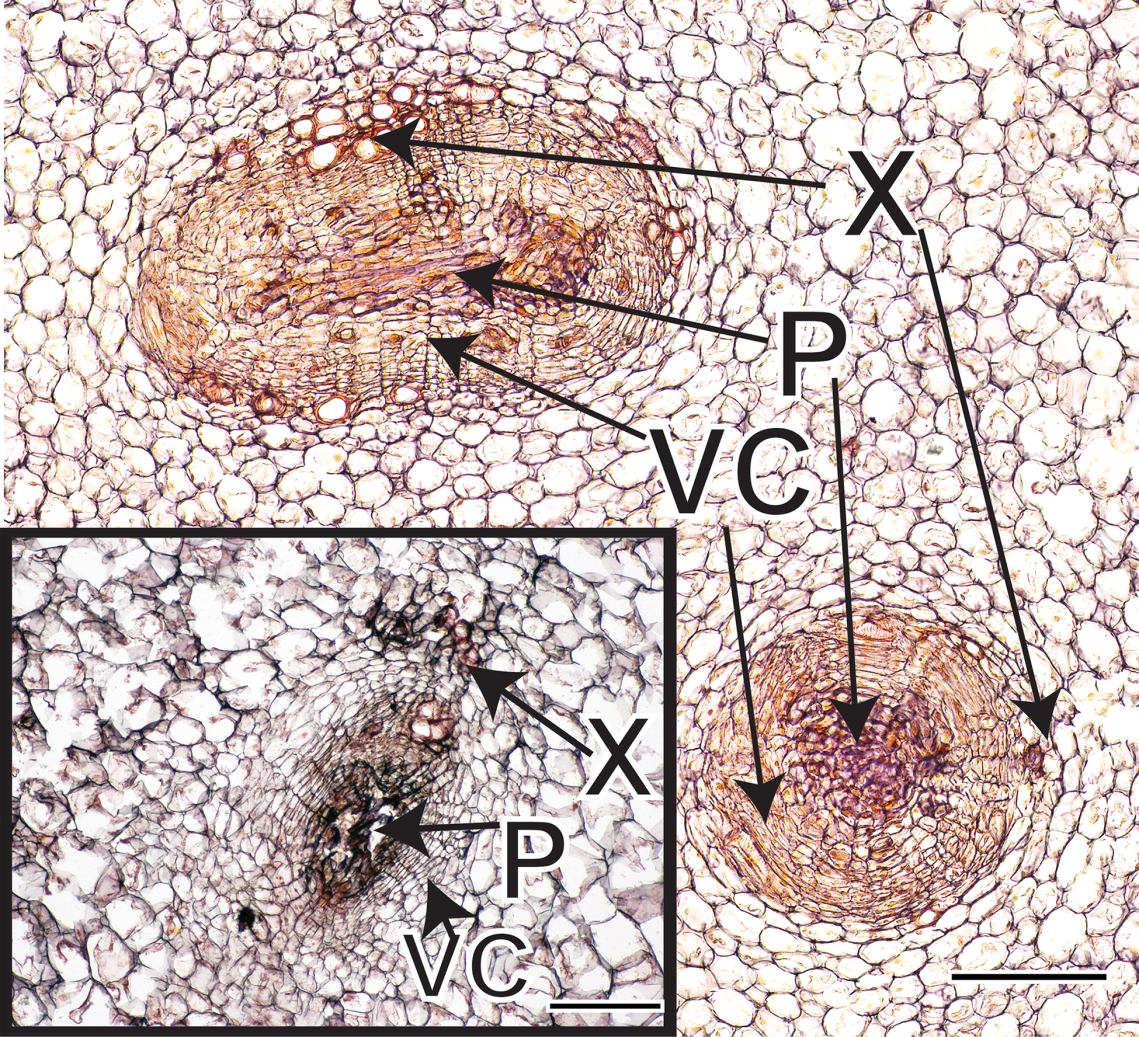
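Cross section of two vascular bundles lying in ground tissue of large, rounded, thin-walled parenchyma cells. The bundle tissues stain brownish-orange, unlike the pale surrounding parenchyma.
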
